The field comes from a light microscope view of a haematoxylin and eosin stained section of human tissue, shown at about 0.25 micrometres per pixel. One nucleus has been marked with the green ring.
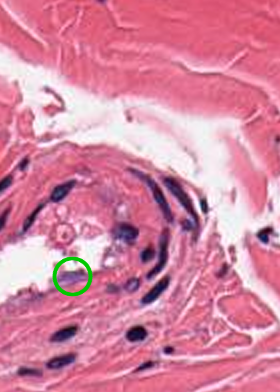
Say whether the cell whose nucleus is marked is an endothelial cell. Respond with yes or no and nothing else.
yes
